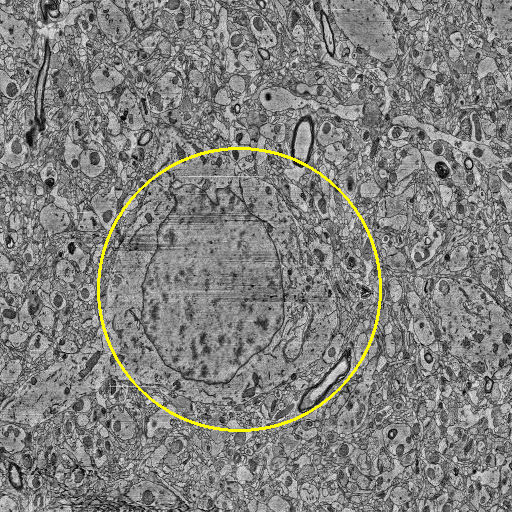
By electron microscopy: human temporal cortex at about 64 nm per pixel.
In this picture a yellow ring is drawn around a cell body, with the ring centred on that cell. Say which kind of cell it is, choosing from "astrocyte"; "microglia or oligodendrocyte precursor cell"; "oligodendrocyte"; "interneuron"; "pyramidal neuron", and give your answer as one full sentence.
Here it is a pyramidal neuron that sits at the centre of the drawn yellow ring.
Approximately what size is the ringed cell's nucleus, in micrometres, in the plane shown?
The nucleus has a long axis of about 13 micrometres and a short axis of about 10 micrometres in this plane.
